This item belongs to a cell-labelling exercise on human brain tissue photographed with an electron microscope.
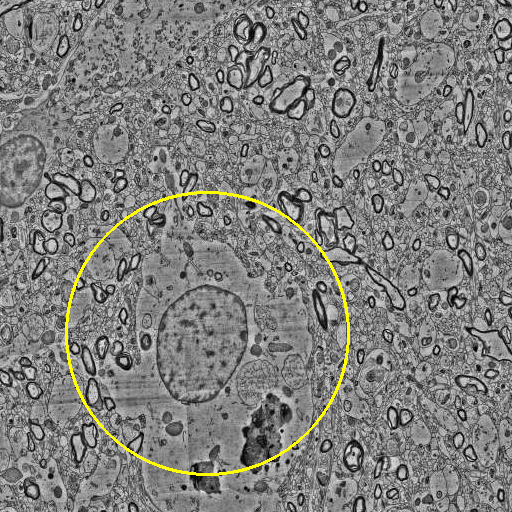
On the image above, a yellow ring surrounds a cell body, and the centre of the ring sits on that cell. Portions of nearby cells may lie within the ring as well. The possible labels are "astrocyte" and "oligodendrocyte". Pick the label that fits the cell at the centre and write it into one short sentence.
This cell should be labelled as an astrocyte.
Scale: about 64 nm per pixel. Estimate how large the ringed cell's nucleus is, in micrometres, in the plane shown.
In this plane the nucleus measures roughly 8 by 6 micrometers.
